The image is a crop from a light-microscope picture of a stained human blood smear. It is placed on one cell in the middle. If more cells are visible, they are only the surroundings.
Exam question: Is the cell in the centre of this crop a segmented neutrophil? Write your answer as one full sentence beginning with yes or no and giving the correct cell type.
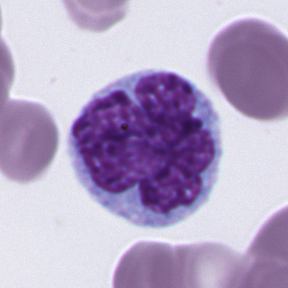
No, it is a monocyte rather than a segmented neutrophil that the middle of the crop contains.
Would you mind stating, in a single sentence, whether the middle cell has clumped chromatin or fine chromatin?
Here the nuclear chromatin is coarsely clumped.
